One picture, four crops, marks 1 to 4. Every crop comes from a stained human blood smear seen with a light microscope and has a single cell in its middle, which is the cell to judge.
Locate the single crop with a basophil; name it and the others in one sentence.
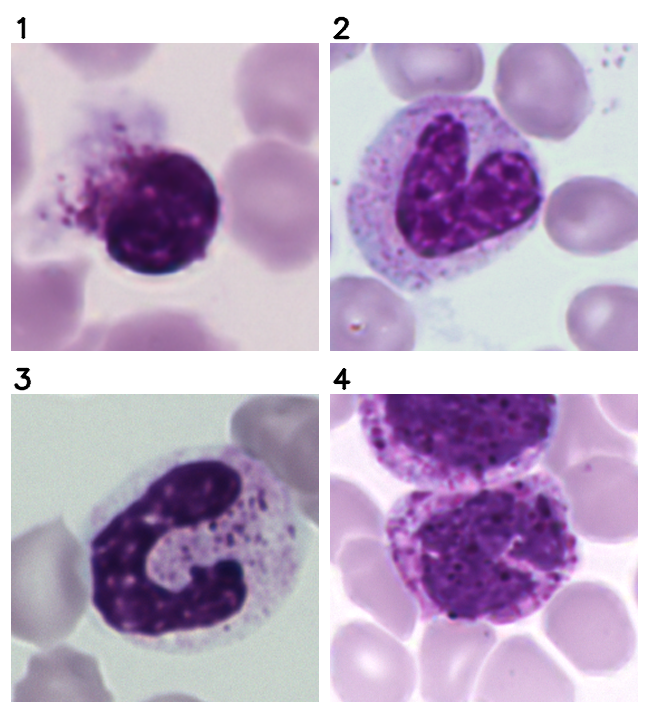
Crop 4 features a basophil, while crop 1 is an eosinophil, crop 2 is a band neutrophil and crop 3 is a segmented neutrophil.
